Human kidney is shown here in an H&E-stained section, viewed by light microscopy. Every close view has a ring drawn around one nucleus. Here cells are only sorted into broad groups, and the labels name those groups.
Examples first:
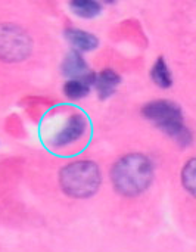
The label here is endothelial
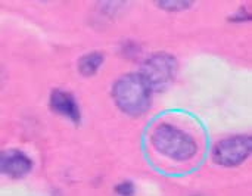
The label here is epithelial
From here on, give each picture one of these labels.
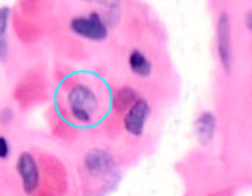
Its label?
endothelial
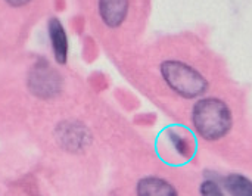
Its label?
endothelial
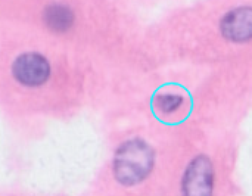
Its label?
endothelial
